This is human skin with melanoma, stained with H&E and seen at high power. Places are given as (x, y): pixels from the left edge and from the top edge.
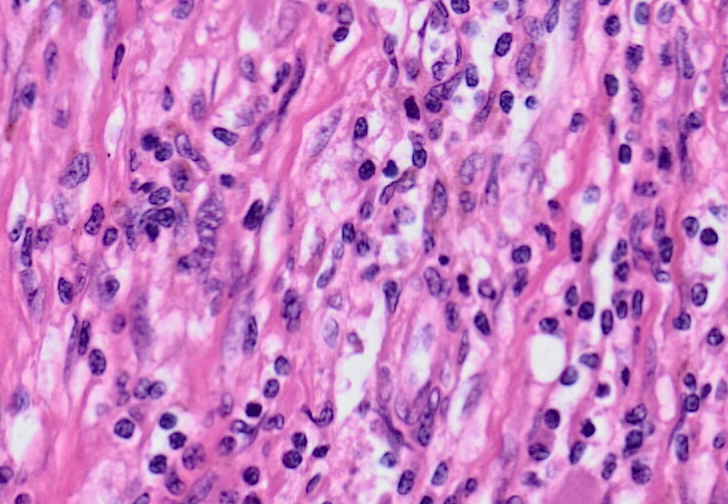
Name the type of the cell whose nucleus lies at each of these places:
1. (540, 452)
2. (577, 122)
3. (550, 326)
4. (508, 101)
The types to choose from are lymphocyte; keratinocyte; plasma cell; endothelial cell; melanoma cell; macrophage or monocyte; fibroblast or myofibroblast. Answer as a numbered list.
1. plasma cell
2. lymphocyte
3. lymphocyte
4. lymphocyte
